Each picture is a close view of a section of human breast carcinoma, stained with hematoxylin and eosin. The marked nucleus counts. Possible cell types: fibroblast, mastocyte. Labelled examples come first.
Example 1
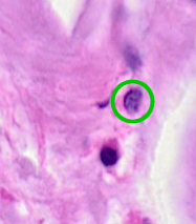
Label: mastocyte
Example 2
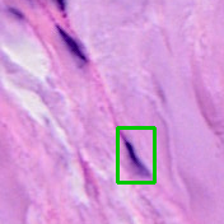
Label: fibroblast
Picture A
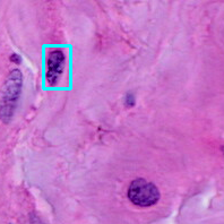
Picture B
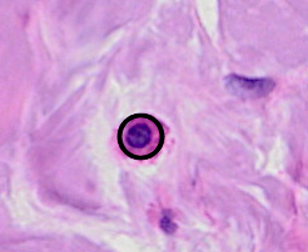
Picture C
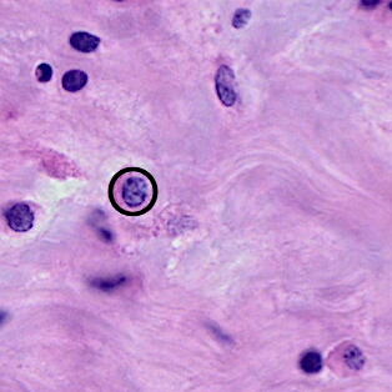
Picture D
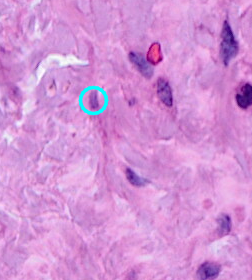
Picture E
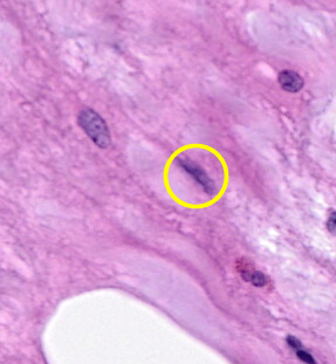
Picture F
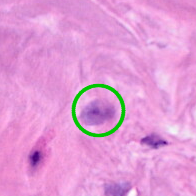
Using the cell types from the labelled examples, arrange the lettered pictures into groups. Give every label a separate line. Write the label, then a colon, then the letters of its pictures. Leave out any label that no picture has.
fibroblast: D, E, F
mastocyte: A, B, C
